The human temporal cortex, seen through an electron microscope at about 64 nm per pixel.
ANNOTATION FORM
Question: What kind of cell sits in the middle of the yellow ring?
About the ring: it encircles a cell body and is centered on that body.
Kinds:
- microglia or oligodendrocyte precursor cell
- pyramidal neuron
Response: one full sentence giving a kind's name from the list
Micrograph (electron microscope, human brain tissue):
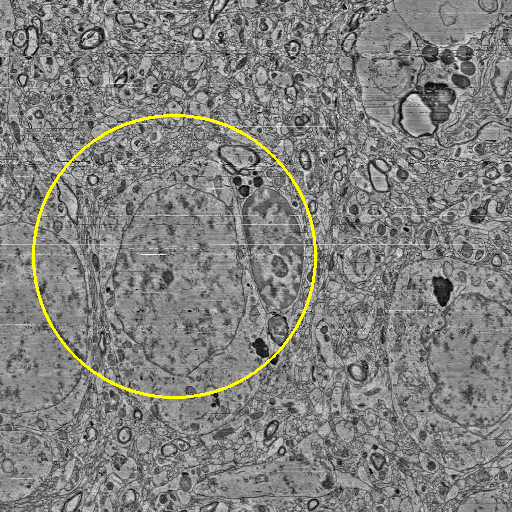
The kind of cell found at the center of the yellow ring in the micrograph is a pyramidal neuron.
